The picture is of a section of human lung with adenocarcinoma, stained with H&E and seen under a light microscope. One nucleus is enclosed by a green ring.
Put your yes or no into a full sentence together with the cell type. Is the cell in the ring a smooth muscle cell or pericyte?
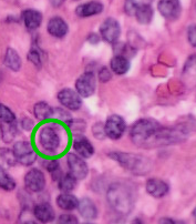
No, the cell in the ring is typed as a lymphocyte rather than as a smooth muscle cell or pericyte.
